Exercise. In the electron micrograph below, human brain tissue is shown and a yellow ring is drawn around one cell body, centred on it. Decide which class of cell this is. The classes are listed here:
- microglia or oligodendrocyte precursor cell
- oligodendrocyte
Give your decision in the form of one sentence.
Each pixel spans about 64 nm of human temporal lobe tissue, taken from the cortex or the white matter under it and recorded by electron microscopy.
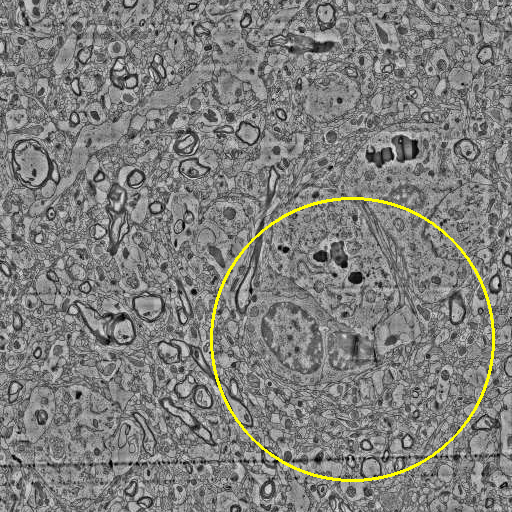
The cell body marked by the ring belongs to an oligodendrocyte.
